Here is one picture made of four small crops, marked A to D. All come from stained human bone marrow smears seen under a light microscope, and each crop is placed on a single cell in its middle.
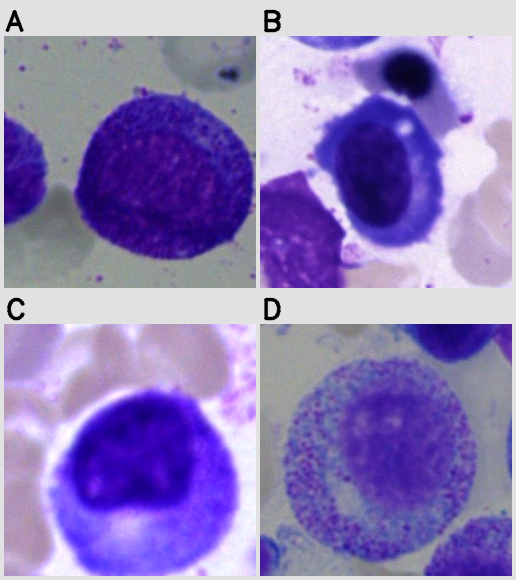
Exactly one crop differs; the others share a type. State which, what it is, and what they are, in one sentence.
Apart from crop B, a plasma cell, the crops all show promyelocytes.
